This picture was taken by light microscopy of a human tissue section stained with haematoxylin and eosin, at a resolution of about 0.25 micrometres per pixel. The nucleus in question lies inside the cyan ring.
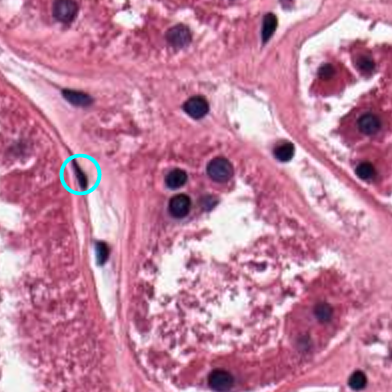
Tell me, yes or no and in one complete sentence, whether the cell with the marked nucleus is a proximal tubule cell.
No, instead of a proximal tubule cell, a supporting cell is what the marked nucleus belongs to.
